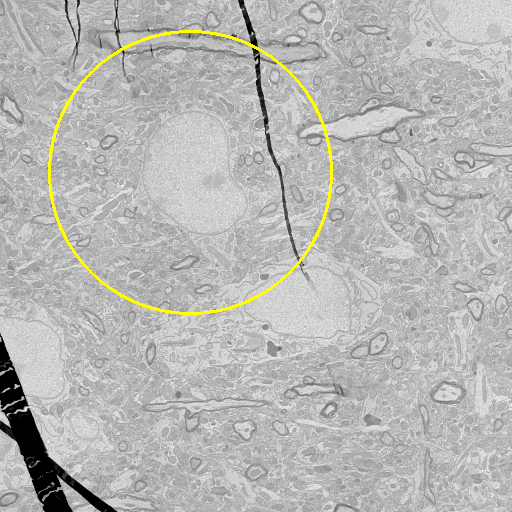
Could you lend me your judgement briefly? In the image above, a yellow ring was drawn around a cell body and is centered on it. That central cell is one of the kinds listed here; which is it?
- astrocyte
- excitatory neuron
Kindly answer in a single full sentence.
Going by the list, an astrocyte is the kind at the ring's center in the picture.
